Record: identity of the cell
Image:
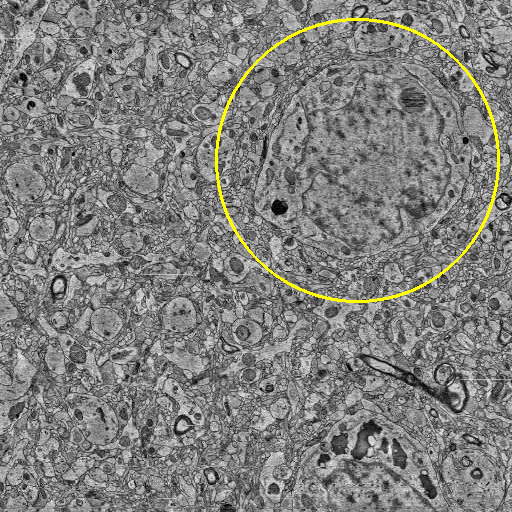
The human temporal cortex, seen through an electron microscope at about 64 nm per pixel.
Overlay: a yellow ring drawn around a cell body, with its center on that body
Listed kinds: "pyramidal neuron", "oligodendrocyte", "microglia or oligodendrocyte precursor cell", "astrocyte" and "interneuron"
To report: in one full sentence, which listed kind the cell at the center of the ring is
In the image, the cell body at the ring's center belongs to an interneuron.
